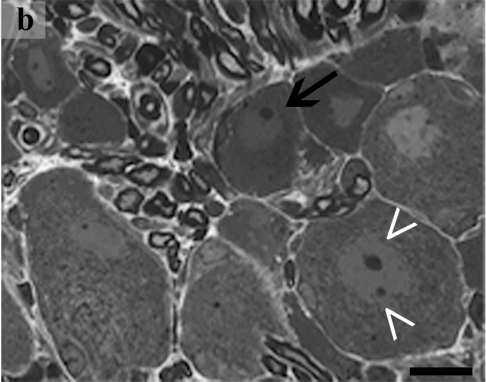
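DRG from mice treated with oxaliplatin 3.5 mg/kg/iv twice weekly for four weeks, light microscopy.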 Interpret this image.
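Sensory neurons of a dorsal root ganglion appear as large rounded or oval cell bodies with finely granular cytoplasm and pale nuclei. One nucleus contains two separate dark nucleolar bodies, and in another cell the dark nucleolus lies off-centre in its nucleus. Small cells with dark nuclei lie in the narrow spaces around the cell bodies. At the upper left, many nerve fibers cut in cross-section appear as dark rings around pale centres.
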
